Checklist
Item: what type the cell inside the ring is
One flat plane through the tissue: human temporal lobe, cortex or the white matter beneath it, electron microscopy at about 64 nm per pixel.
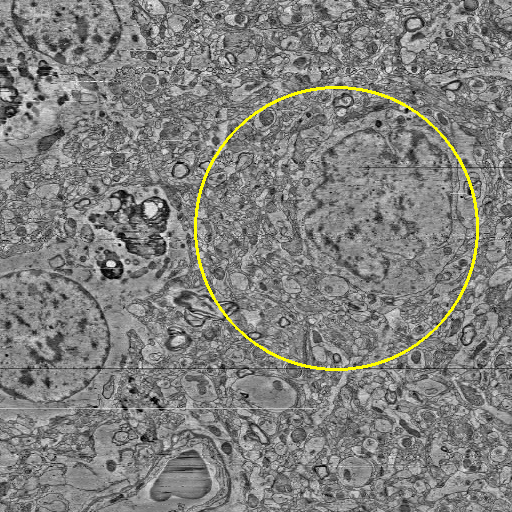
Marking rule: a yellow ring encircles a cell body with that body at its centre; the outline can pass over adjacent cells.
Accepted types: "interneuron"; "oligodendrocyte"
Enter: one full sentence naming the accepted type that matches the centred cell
The entry is that an interneuron lies at the centre of the yellow ring.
